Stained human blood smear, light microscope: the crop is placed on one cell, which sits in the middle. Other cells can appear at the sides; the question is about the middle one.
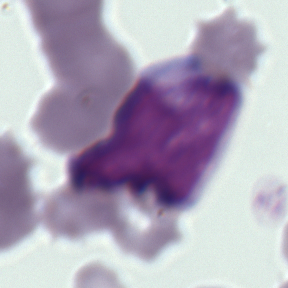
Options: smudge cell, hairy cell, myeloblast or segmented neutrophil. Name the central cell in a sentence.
The cell under consideration, at the middle of the crop, is a myeloblast.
